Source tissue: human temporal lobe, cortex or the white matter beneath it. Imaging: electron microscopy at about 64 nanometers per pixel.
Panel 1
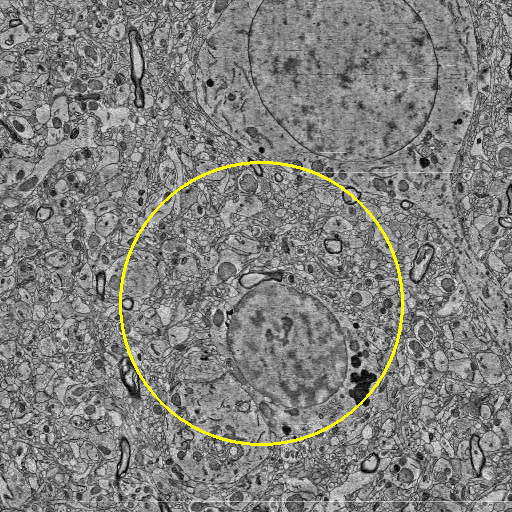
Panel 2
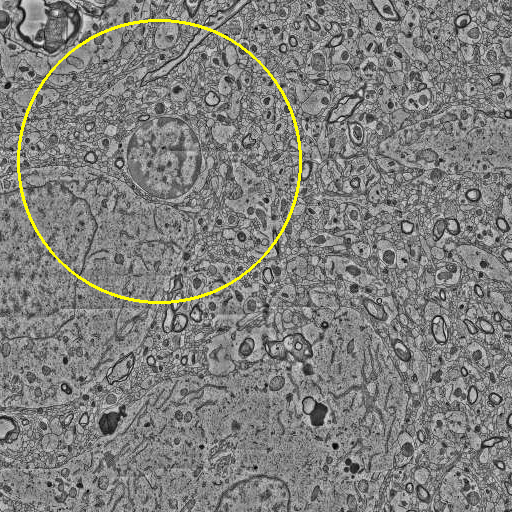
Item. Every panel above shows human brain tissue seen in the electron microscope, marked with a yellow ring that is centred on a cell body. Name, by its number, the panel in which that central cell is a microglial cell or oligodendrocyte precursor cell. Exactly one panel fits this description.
2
